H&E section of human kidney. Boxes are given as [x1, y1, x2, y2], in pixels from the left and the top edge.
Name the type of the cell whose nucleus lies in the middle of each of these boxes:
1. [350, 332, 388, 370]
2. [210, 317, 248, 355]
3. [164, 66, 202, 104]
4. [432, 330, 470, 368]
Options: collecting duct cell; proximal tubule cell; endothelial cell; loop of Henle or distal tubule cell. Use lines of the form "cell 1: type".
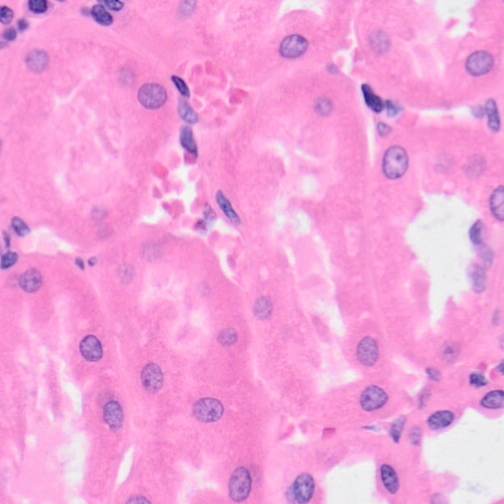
cell 1: proximal tubule cell
cell 2: proximal tubule cell
cell 3: endothelial cell
cell 4: proximal tubule cell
